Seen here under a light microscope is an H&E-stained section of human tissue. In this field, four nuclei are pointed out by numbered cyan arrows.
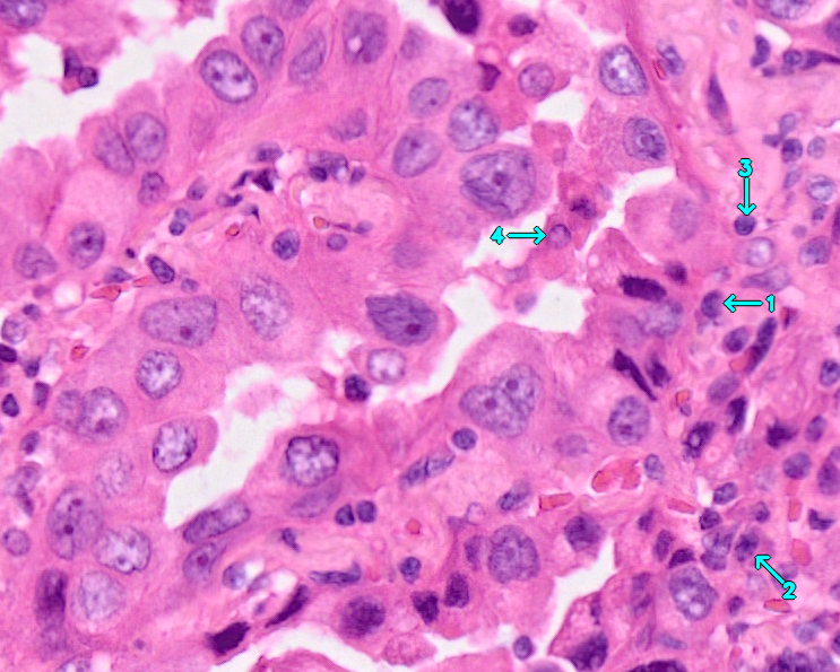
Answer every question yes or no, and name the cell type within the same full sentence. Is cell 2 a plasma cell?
Yes, the cell shown as number 2 is a plasma cell.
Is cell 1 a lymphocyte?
Yes, the cell tagged with the number 1 is a lymphocyte.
